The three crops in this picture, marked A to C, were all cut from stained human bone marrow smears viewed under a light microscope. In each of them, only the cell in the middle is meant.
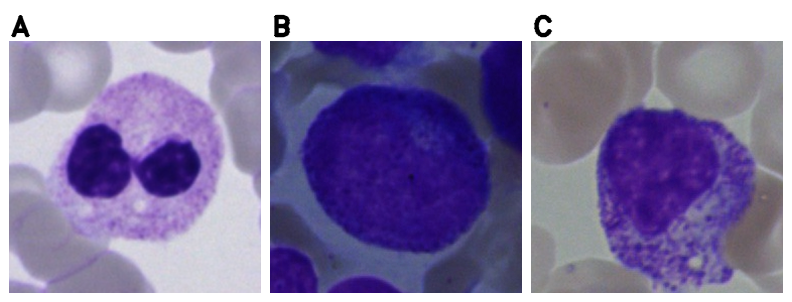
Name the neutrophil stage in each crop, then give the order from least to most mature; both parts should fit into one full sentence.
Ranked in ascending maturity, the crops are crop B (a promyelocyte), crop C (a myelocyte) and crop A (a segmented neutrophil).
